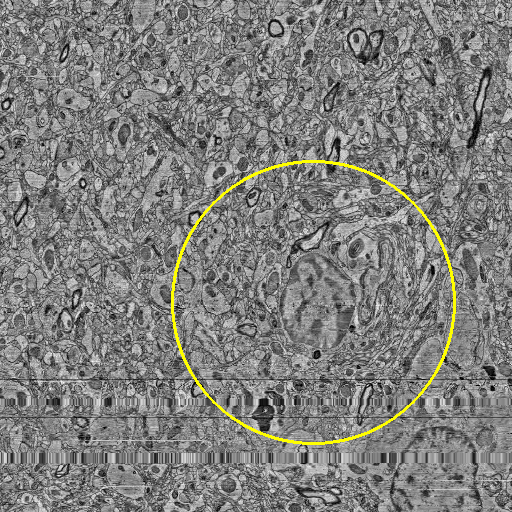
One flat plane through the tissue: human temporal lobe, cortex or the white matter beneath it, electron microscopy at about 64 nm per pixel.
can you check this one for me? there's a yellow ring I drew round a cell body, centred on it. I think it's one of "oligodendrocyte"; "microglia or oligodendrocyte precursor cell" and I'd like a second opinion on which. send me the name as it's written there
oligodendrocyte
